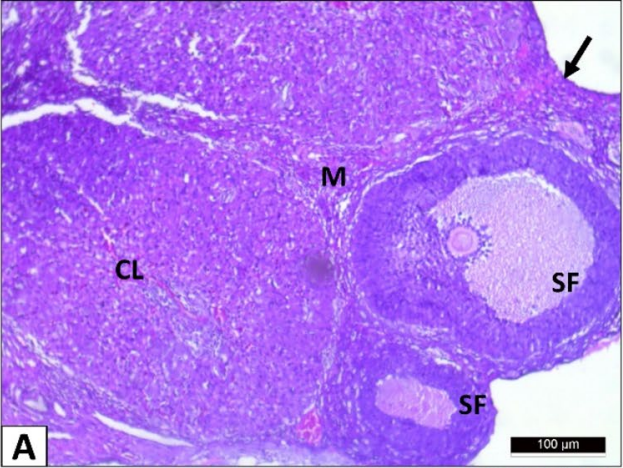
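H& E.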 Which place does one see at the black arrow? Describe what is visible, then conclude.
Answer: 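The arrow points at the outer edge of the organ. Follicles lie in this outer zone. That points to this answer: outer cortex.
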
